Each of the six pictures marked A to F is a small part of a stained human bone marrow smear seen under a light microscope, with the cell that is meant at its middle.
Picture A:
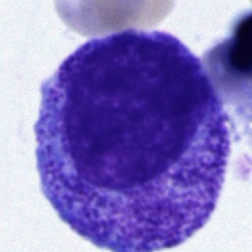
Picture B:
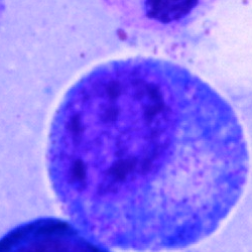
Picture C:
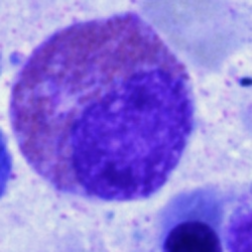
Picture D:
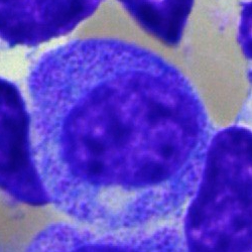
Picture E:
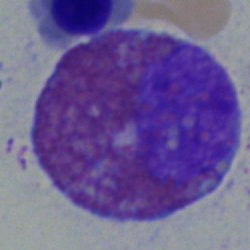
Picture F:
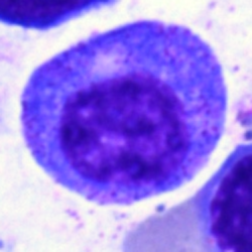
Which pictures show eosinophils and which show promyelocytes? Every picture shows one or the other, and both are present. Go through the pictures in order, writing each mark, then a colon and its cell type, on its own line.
A: promyelocyte
B: promyelocyte
C: eosinophil
D: promyelocyte
E: eosinophil
F: promyelocyte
